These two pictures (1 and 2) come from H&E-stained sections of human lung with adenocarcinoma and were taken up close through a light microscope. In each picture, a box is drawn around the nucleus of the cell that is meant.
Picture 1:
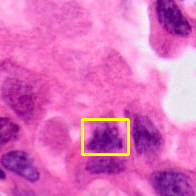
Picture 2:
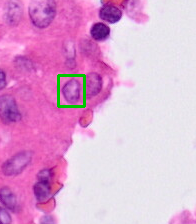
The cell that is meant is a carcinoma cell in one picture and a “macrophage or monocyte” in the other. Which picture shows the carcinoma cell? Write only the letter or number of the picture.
1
